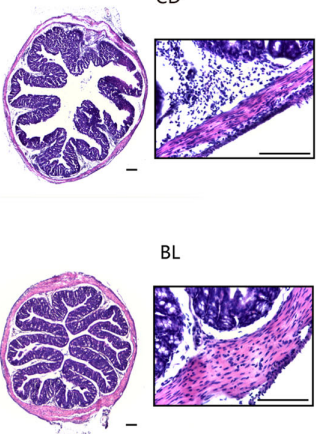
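Round cross-sections of the colon show a mucosa folded into ridges, densely packed with purple-stained crypts around a central lumen. A thin pink band encircles the outside of each section. The enlarged views show this band as smooth muscle, pink with elongated dark nuclei, lying next to looser tissue beneath the crypts. The band appears thicker in the lower enlargement than in the upper one.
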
